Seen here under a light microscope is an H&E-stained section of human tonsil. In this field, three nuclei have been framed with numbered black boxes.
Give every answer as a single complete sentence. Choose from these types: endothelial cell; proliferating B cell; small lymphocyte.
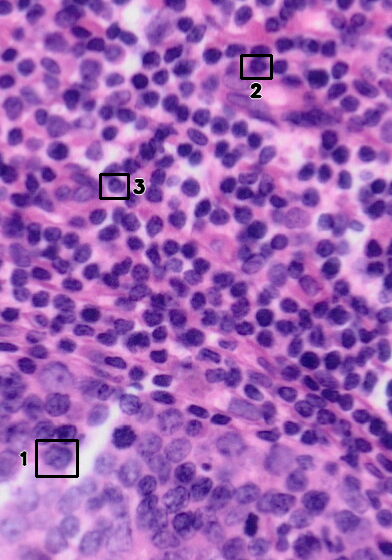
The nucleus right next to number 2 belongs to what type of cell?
The nearest nucleus to number 2 belongs to a small lymphocyte.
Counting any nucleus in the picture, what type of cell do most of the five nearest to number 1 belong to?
The majority of the five nuclei closest to number 1 belong to proliferating B cells.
